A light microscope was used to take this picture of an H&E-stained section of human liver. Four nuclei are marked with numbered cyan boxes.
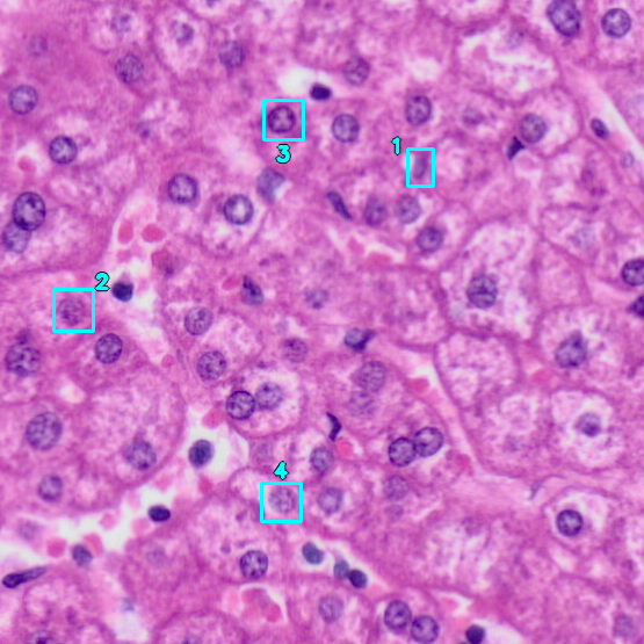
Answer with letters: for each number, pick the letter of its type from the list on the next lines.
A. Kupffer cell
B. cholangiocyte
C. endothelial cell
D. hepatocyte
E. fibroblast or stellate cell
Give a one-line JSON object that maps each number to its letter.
{"1": "C", "2": "D", "3": "D", "4": "D"}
